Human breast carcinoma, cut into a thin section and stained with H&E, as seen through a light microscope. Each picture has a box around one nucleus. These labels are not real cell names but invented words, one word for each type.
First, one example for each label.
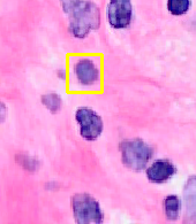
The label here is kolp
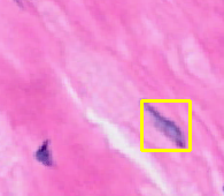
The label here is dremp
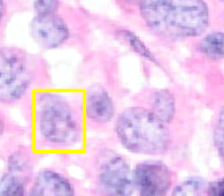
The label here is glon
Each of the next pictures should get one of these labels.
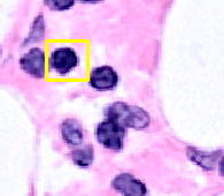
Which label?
kolp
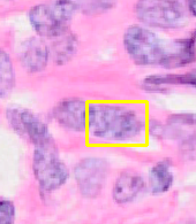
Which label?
glon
